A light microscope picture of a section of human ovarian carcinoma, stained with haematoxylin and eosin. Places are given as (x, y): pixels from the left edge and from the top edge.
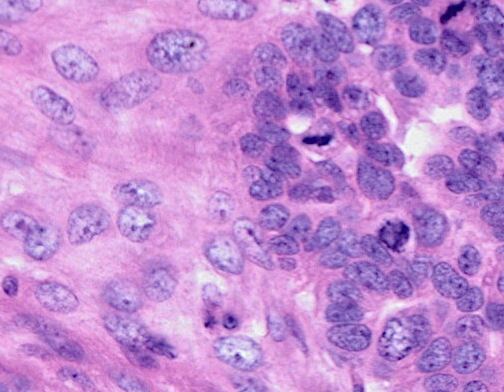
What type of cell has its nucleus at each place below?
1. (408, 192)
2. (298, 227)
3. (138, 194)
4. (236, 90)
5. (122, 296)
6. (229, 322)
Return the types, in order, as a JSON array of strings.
["carcinoma cell", "carcinoma cell", "fibroblast", "fibroblast", "fibroblast", "lymphocyte"]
